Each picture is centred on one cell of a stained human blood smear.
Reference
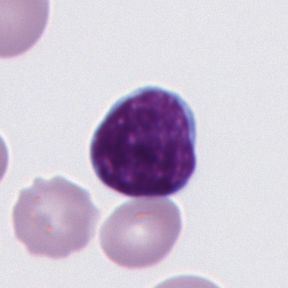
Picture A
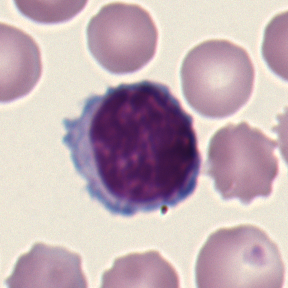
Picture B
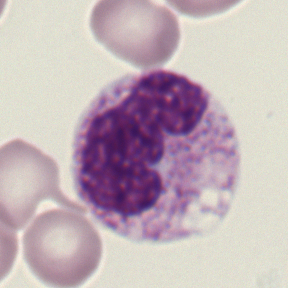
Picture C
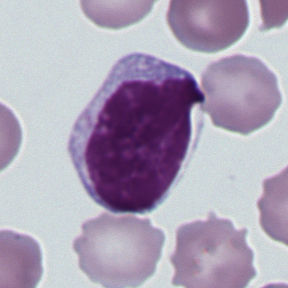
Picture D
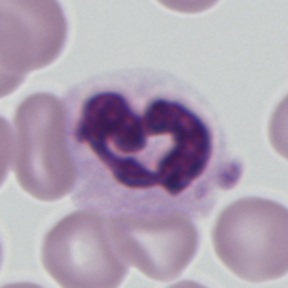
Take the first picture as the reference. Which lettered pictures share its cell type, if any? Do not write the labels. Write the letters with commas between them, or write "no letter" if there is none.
A, C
